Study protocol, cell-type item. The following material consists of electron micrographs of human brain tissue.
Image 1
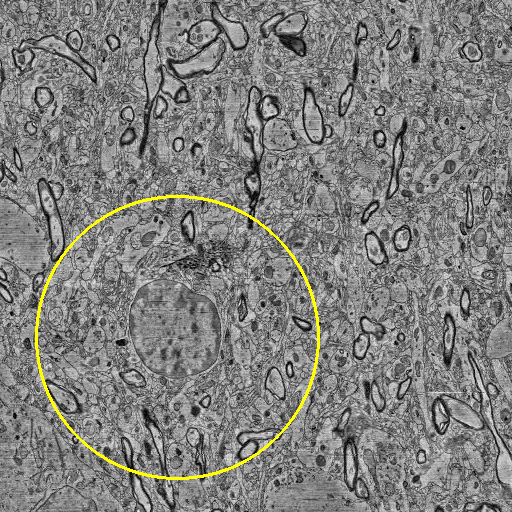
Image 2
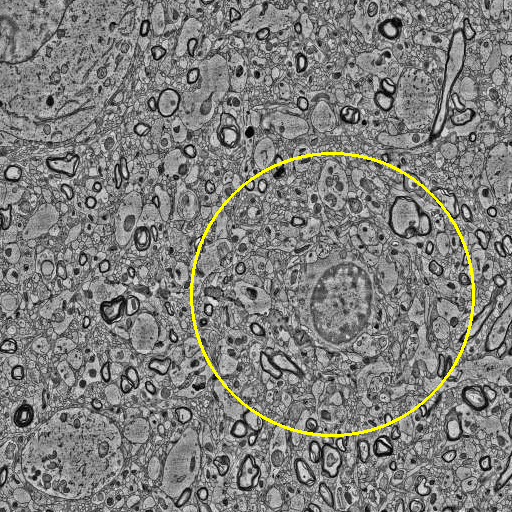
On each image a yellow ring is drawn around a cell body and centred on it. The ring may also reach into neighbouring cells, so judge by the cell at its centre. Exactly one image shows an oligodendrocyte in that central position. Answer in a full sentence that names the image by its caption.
The cell at the centre of the ring in Image 2 is of that kind.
